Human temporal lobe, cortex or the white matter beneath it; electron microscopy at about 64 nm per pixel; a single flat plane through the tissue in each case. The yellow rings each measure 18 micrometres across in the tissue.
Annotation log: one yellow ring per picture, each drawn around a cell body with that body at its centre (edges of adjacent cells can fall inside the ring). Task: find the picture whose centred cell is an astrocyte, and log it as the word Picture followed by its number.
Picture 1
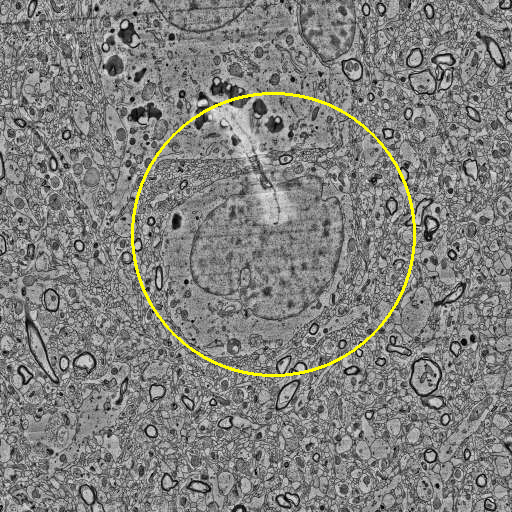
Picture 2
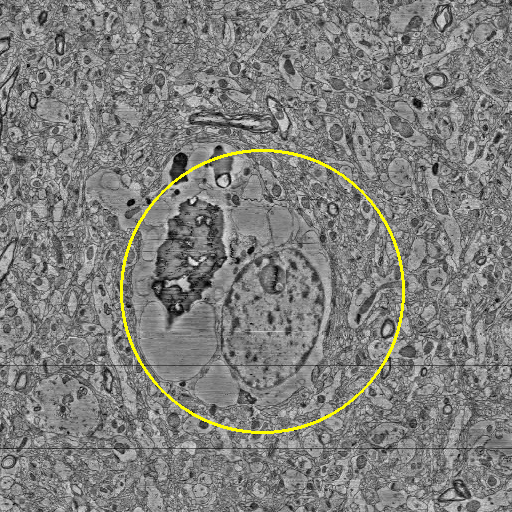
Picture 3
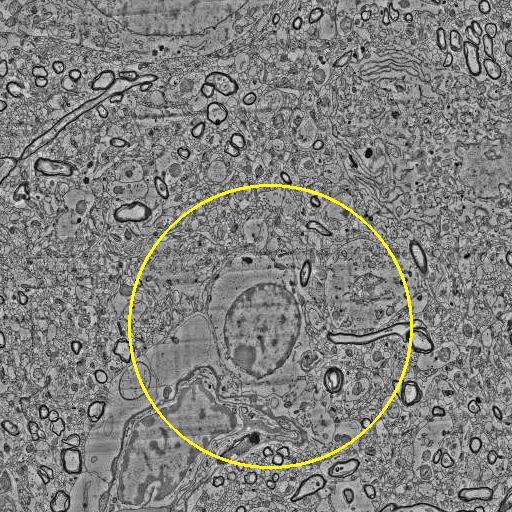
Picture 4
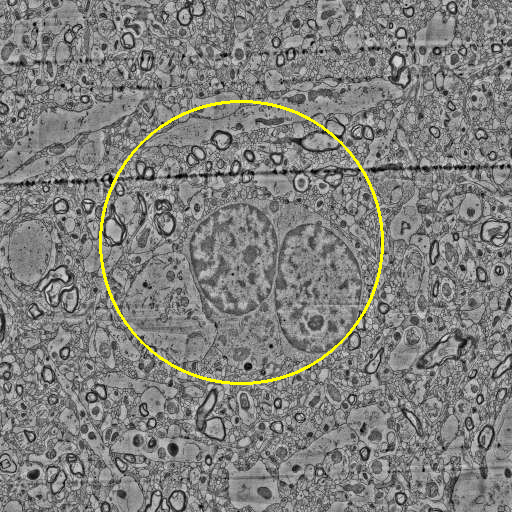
Picture 2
